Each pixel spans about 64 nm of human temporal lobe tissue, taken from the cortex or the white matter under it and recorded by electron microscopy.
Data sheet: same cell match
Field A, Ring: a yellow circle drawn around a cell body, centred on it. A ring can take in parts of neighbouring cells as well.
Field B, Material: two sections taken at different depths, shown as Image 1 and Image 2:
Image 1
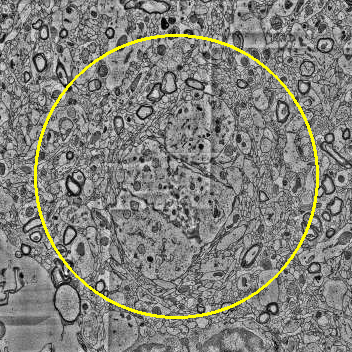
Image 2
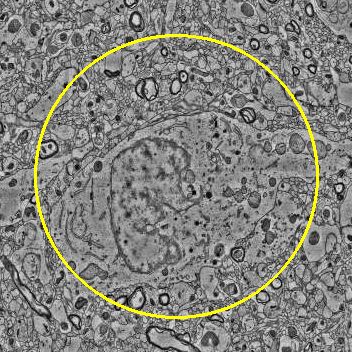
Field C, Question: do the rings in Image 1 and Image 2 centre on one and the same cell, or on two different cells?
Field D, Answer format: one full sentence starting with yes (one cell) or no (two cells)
No, these yellow rings each mark a separate cell.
